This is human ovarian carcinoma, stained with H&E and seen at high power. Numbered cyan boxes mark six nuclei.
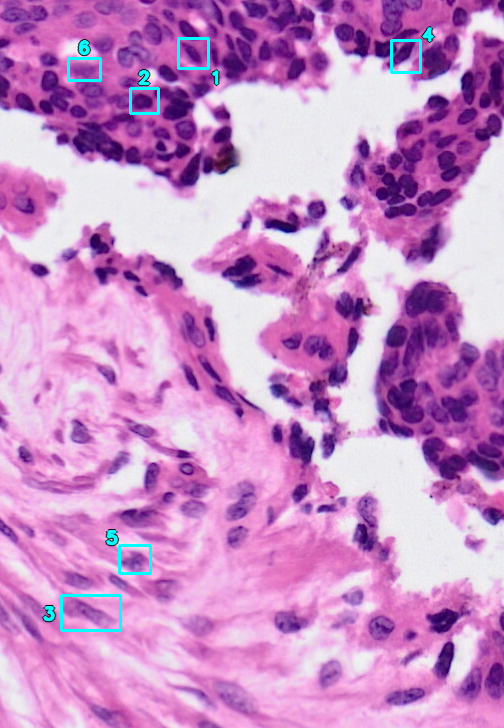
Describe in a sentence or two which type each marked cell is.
Cell 1 is a carcinoma cell, cell 2 is a carcinoma cell, cell 3 is a fibroblast, cell 4 is a carcinoma cell, cell 5 is a fibroblast and cell 6 is a carcinoma cell.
